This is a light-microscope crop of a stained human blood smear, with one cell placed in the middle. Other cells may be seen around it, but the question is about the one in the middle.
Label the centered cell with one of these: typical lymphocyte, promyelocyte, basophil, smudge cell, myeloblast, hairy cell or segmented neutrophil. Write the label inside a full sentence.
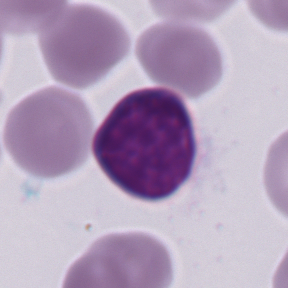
The cell that lies at the centre of the crop is a smudge cell.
